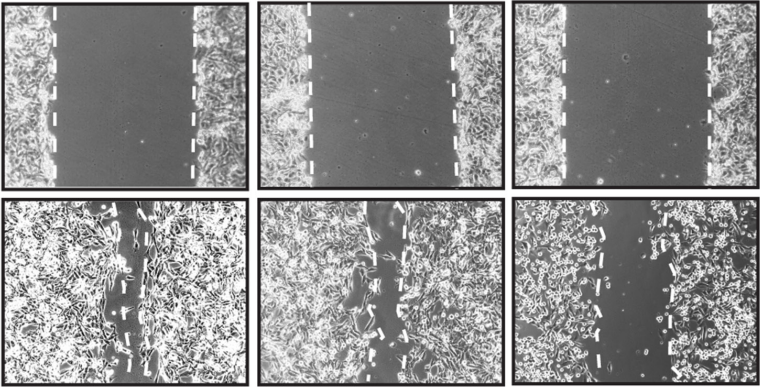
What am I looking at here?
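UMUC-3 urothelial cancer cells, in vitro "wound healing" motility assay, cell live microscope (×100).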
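In the upper row the gap is wide, with sharp edges marked by white dashed lines and only dense sheets of flattened, polygonal to spindle-shaped cells on either side. In the lower row cells have spread out from the edges into the gap, so it is much narrower and its dashed borders are irregular. The cells are bright-rimmed against the grey background, and some appear rounded and refractile while others are elongated with short processes.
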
